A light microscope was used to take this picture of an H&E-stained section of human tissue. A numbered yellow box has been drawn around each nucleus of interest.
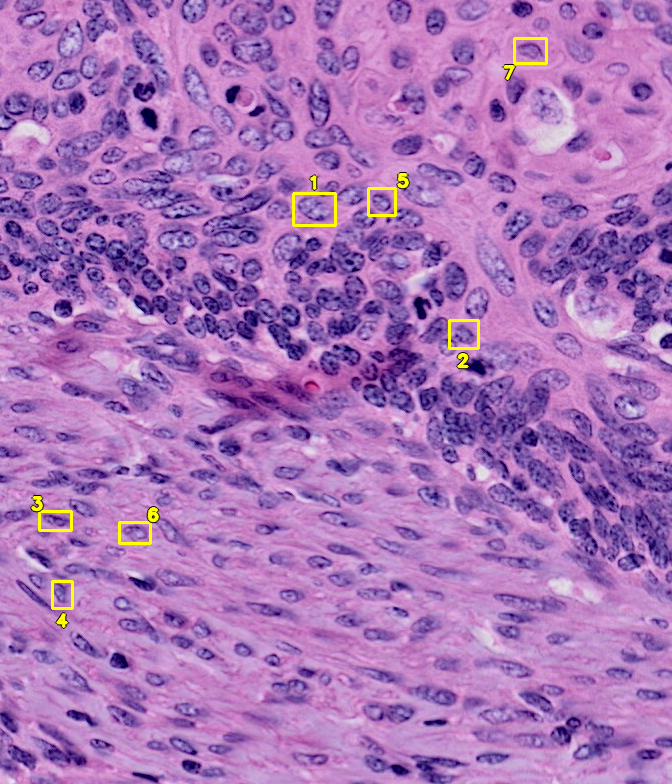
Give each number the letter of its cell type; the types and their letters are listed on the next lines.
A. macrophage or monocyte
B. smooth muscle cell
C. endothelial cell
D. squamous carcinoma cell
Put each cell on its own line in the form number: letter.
1: D
2: D
3: B
4: B
5: D
6: B
7: D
